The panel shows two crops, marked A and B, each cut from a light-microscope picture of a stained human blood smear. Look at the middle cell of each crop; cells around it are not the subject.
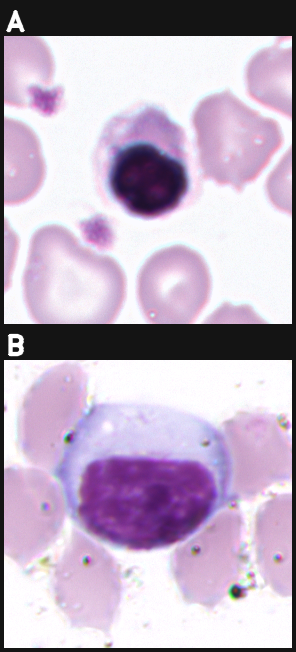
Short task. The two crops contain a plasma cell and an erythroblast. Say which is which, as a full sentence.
Displayed in crop A is an erythroblast, while crop B displays a plasma cell.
